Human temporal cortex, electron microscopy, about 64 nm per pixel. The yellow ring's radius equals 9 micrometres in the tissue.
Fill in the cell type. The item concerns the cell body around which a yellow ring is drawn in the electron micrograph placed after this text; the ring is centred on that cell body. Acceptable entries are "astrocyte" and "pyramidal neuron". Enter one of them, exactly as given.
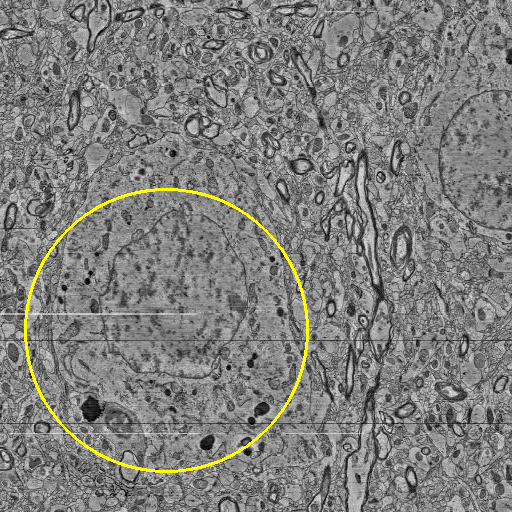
pyramidal neuron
